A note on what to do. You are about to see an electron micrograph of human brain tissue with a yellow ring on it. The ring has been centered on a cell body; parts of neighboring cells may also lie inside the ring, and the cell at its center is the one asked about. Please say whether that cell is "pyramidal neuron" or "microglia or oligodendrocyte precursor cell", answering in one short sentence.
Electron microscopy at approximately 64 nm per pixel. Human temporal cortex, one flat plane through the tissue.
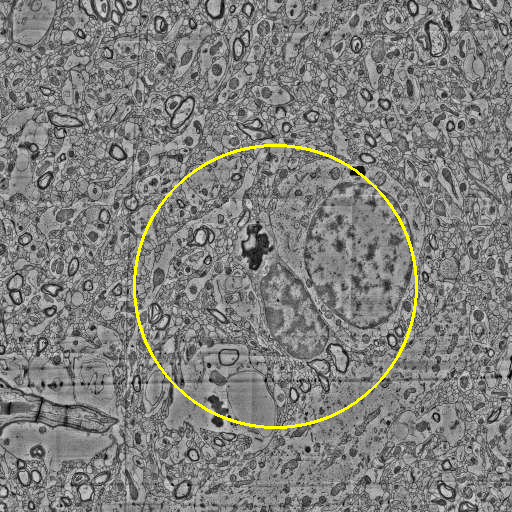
The yellow ring sits on a microglial cell or oligodendrocyte precursor cell.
